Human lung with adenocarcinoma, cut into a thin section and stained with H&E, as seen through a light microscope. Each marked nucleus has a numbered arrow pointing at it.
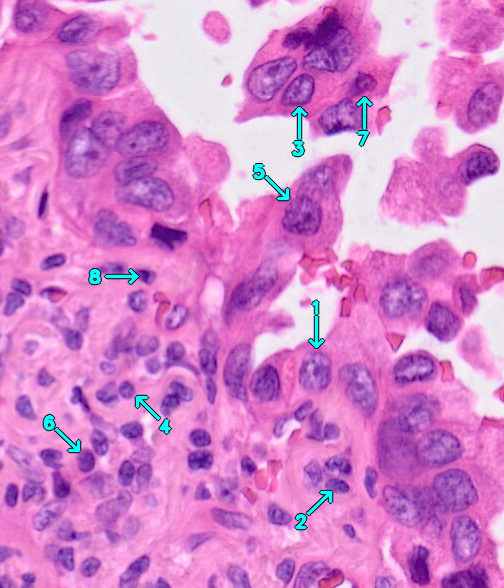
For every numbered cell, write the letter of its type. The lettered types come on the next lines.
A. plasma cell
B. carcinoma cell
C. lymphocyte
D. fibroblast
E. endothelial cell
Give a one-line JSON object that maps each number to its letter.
{"1": "B", "2": "C", "3": "B", "4": "C", "5": "B", "6": "C", "7": "B", "8": "C"}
